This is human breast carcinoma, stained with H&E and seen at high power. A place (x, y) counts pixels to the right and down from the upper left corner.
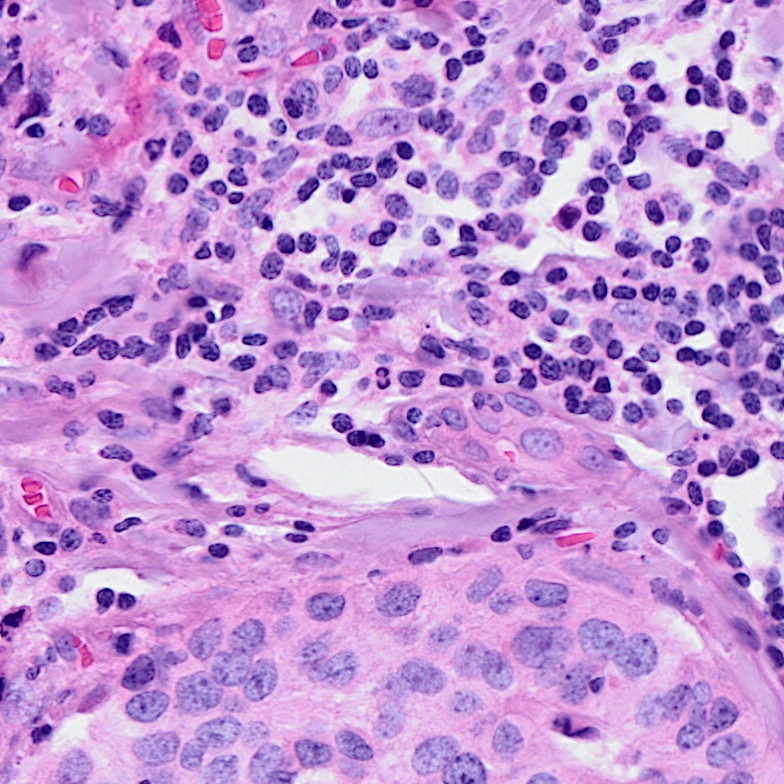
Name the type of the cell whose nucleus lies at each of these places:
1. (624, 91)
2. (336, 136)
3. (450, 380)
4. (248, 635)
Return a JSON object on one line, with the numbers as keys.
{"1": "lymphocyte", "2": "lymphocyte", "3": "lymphocyte", "4": "carcinoma cell"}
